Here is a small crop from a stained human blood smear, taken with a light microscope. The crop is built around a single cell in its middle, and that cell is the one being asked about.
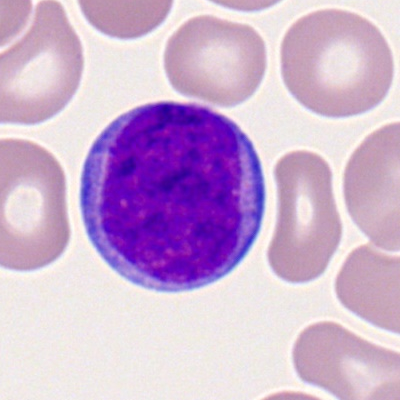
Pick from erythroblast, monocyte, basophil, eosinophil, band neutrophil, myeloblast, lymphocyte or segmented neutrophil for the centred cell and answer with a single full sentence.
What sits at the centre of this crop is a myeloblast.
